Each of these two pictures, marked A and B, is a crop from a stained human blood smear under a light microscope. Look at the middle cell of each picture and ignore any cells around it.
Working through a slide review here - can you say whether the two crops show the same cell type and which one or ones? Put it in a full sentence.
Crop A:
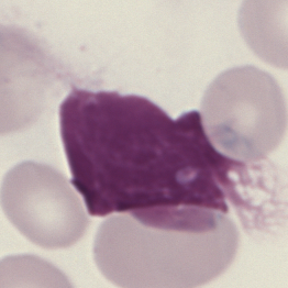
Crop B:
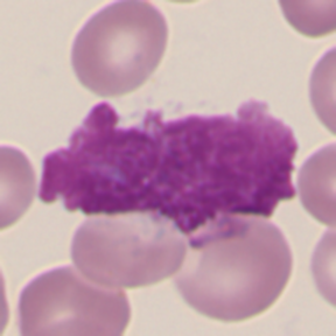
Yes, the cells centred in the two crops are both smudge cells.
